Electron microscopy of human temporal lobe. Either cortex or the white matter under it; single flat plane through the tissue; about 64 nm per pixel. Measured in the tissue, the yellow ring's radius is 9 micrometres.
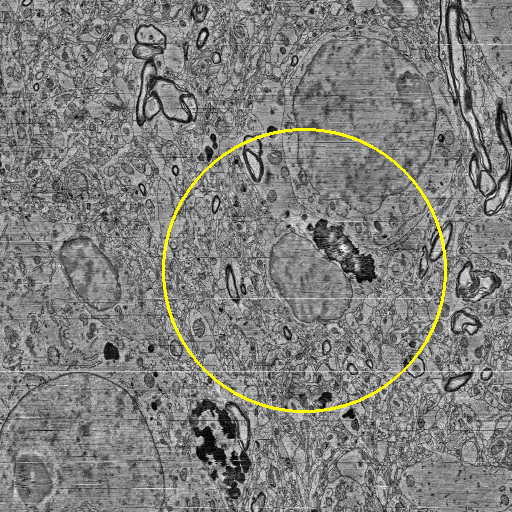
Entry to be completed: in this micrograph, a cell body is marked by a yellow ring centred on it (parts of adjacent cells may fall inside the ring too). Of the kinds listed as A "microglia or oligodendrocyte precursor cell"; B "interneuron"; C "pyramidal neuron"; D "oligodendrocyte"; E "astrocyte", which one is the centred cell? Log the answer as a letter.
D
